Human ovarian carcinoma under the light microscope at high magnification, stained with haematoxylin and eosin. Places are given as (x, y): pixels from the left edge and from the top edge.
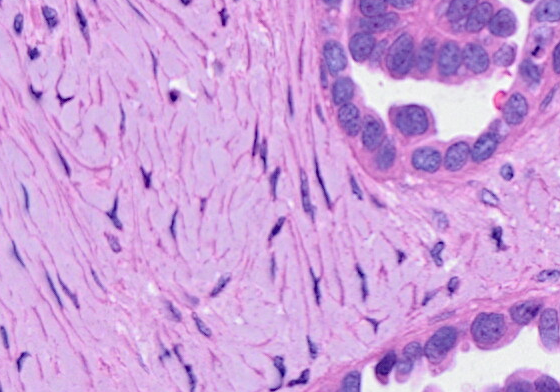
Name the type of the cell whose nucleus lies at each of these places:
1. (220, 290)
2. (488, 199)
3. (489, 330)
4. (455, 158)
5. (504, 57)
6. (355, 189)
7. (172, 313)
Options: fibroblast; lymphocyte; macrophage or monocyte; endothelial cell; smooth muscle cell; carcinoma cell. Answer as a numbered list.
1. fibroblast
2. fibroblast
3. carcinoma cell
4. carcinoma cell
5. carcinoma cell
6. fibroblast
7. fibroblast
